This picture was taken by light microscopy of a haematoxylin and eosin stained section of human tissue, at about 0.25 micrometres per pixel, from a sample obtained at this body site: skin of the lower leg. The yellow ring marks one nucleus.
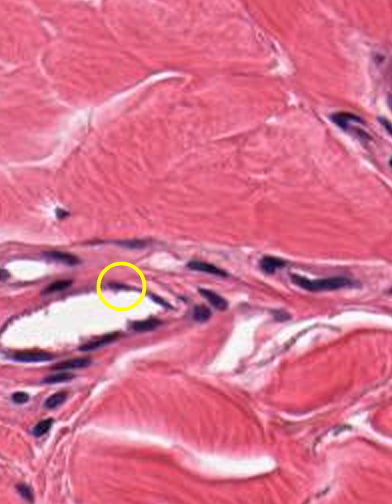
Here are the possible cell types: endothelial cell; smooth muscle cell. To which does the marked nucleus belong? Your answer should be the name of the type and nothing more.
endothelial cell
